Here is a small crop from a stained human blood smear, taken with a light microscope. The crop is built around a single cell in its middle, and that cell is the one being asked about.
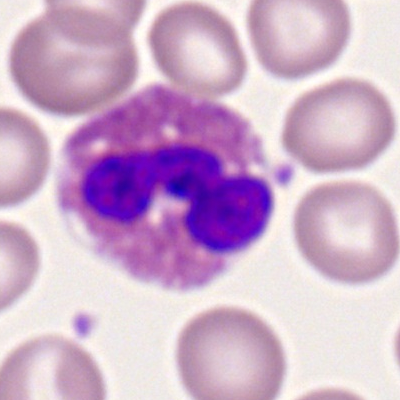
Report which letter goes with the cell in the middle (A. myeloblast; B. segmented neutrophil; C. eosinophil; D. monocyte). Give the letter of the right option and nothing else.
C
